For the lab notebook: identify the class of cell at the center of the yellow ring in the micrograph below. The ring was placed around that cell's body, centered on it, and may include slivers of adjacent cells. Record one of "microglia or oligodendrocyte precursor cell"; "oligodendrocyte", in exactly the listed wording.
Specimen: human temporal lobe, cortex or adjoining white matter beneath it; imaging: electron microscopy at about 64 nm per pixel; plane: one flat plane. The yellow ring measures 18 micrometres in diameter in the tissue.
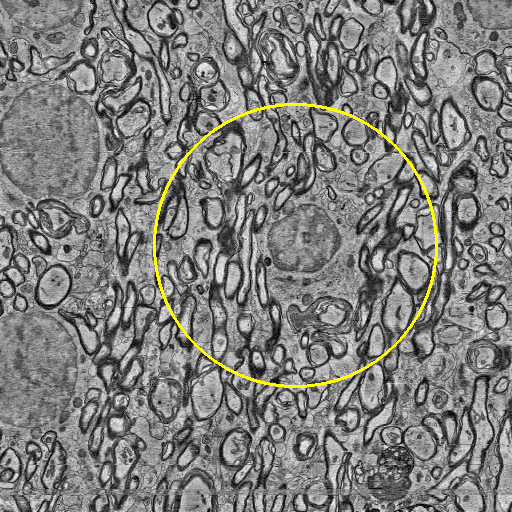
oligodendrocyte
